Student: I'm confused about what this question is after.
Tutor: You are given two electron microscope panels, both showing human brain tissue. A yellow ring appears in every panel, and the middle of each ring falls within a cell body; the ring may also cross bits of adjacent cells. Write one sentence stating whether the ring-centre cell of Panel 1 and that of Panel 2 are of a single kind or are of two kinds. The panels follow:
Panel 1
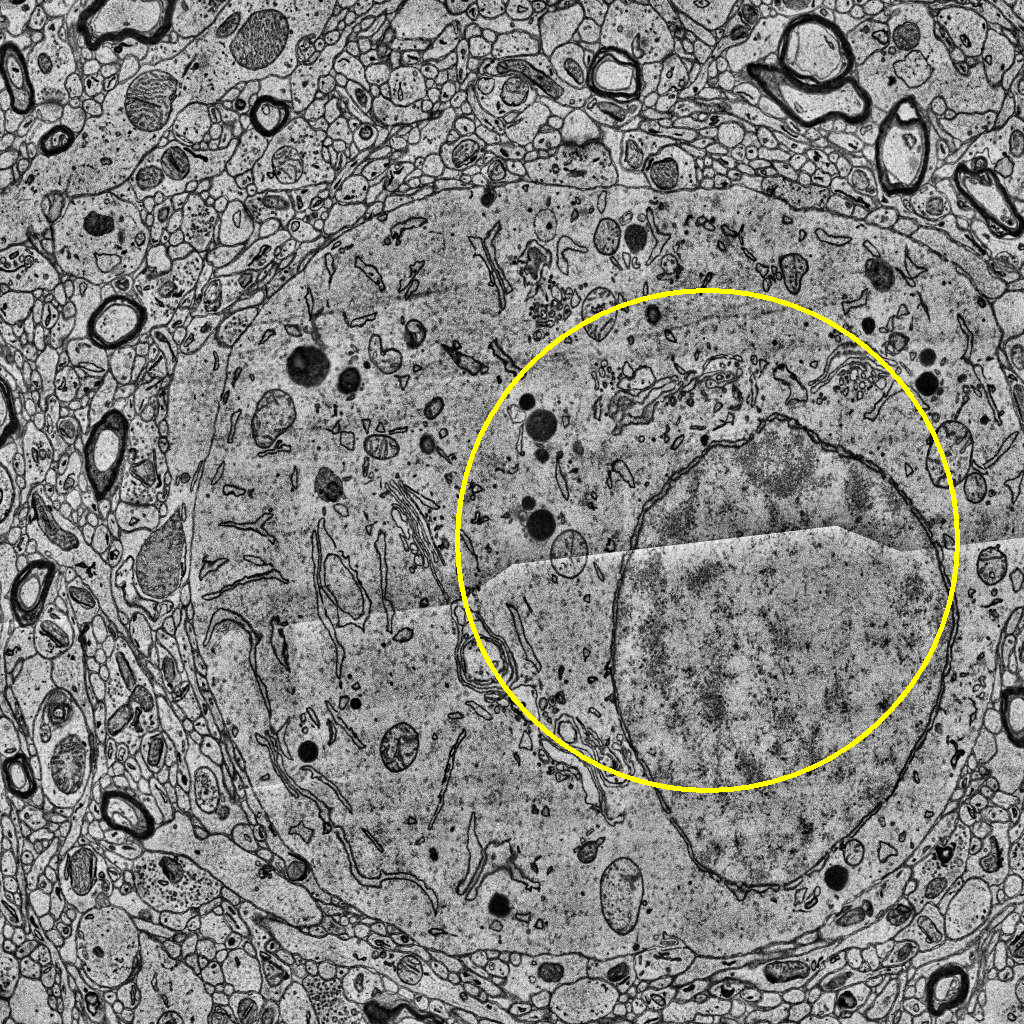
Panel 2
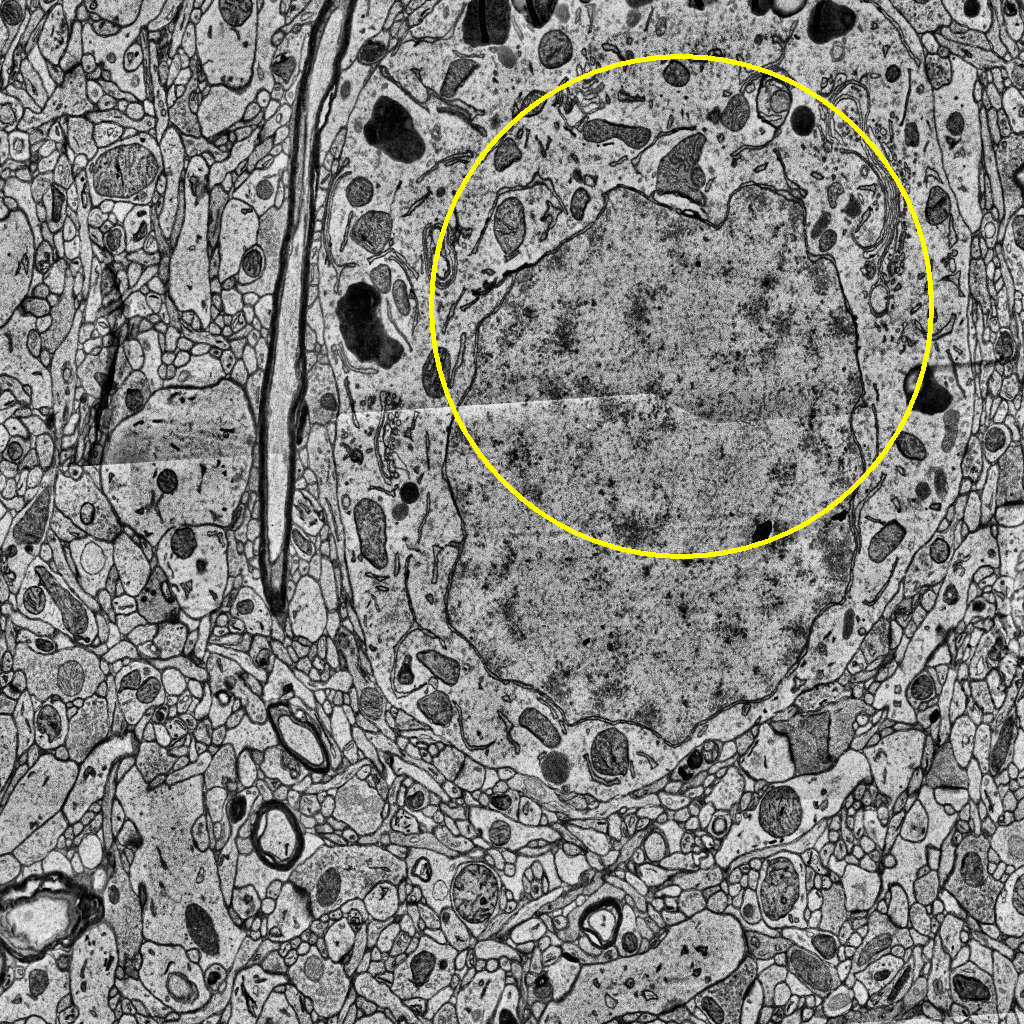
Here, the Panel 1 ring-centre cell and the Panel 2 ring-centre cell are of two kinds.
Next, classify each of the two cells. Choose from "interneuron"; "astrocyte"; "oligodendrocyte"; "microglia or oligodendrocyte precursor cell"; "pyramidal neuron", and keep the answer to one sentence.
The two differ: the first cell is a pyramidal neuron and the second is an interneuron.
